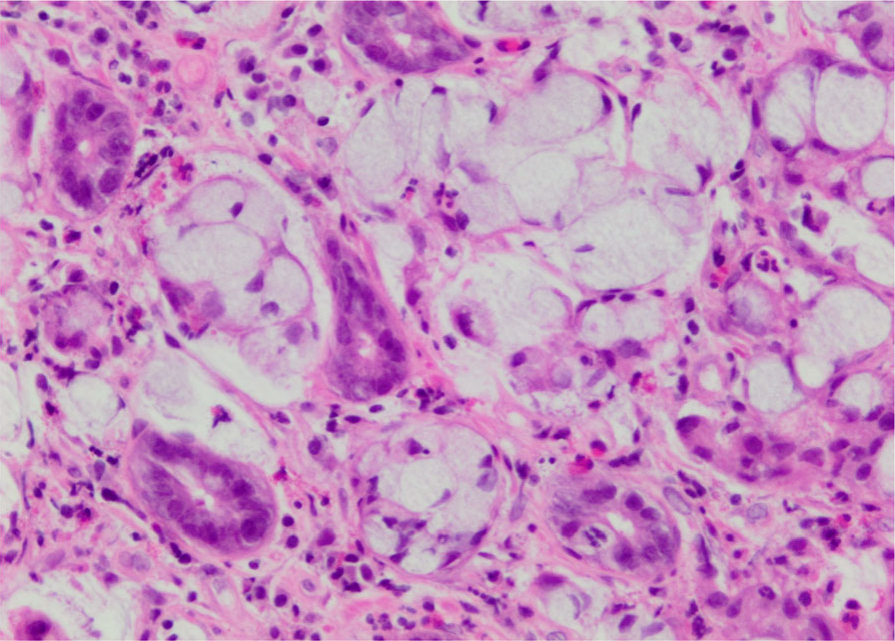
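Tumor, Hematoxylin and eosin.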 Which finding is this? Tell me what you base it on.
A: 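In the pale cells the nuclei are small, dark and flattened or crescent-shaped. These nuclei sit at the rim of the cells, pushed aside by the pale cytoplasm. The nuclei lack marked enlargement or variation in size. So: nuclei compressed to the edges of the cells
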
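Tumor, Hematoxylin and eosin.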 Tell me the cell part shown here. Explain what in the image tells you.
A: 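Many cells are distended by pale, grey-pink, finely bubbly or wispy cytoplasm. These pale-filled cells lie in rounded clusters within the stroma.
Mucin.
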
